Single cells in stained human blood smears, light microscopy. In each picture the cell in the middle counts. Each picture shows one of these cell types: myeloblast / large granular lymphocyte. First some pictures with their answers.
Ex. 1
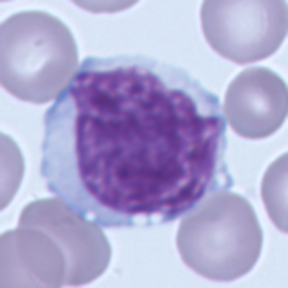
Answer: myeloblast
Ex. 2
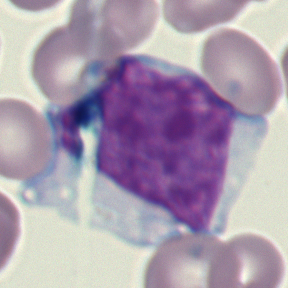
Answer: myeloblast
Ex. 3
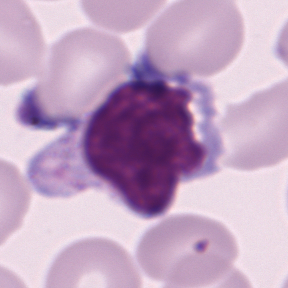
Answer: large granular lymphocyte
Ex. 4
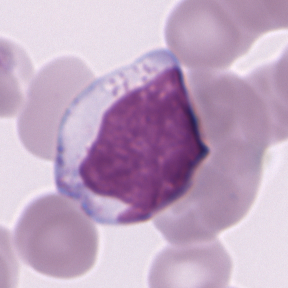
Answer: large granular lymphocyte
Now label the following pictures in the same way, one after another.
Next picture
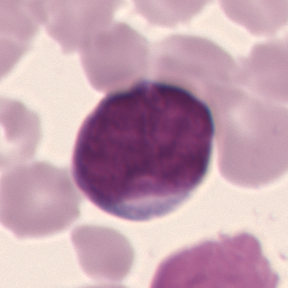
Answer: myeloblast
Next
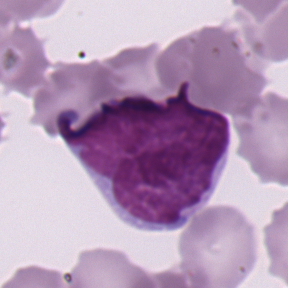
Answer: myeloblast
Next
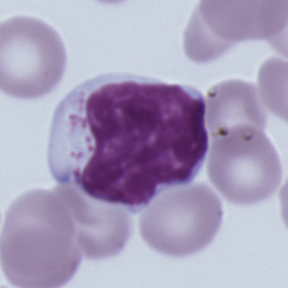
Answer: large granular lymphocyte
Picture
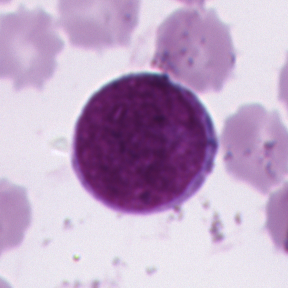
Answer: myeloblast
